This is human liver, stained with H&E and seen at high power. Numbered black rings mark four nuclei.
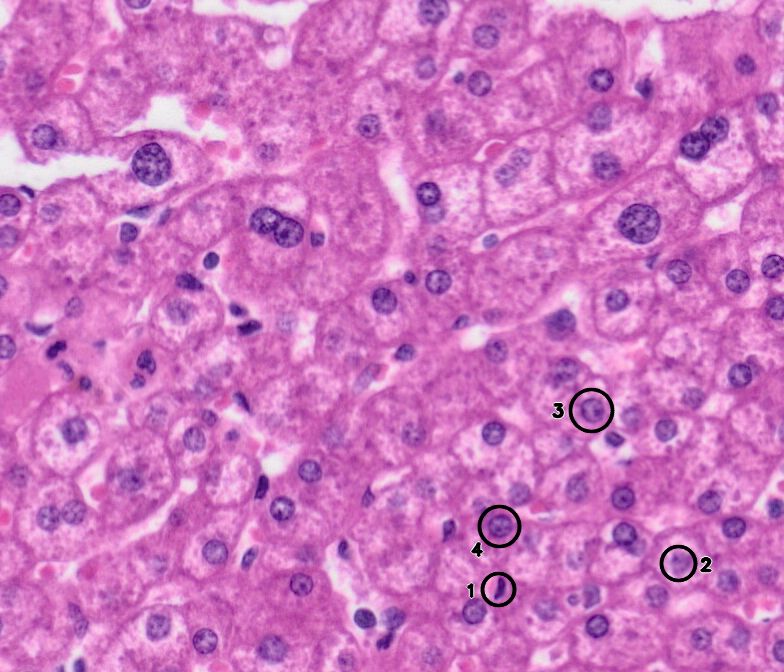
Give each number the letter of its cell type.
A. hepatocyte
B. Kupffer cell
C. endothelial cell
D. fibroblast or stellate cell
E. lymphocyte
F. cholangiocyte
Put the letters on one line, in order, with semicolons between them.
C; A; A; A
